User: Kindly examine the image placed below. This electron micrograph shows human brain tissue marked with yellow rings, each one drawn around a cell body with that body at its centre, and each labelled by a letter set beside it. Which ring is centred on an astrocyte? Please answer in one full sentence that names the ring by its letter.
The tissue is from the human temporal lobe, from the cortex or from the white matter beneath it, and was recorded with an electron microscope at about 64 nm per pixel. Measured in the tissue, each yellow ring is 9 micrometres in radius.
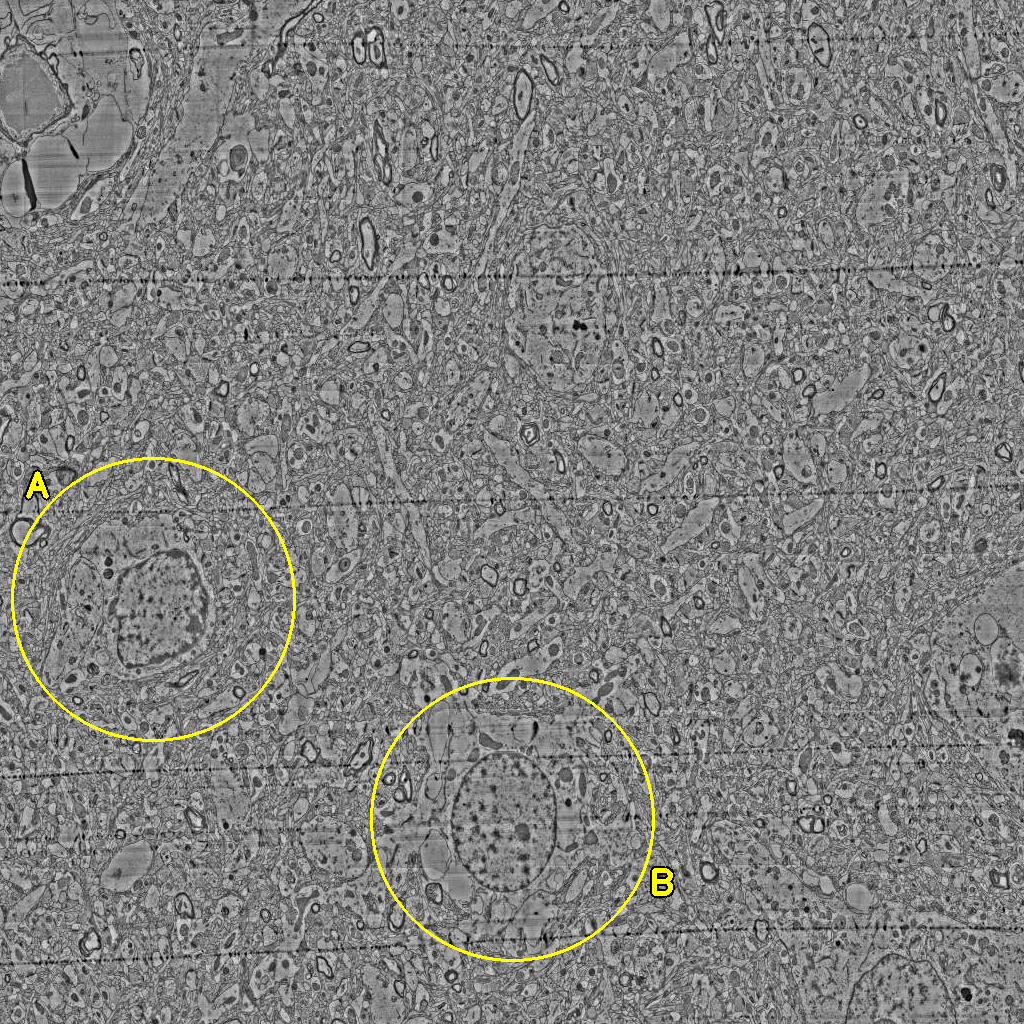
Ring B is the one drawn around the cell asked for.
